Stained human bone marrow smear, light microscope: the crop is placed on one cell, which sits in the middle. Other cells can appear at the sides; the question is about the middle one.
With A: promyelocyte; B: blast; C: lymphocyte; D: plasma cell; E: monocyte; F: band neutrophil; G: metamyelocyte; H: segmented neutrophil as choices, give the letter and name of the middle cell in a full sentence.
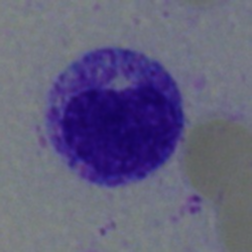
The centrally positioned cell is a metamyelocyte, consistent with option G, which is correct.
